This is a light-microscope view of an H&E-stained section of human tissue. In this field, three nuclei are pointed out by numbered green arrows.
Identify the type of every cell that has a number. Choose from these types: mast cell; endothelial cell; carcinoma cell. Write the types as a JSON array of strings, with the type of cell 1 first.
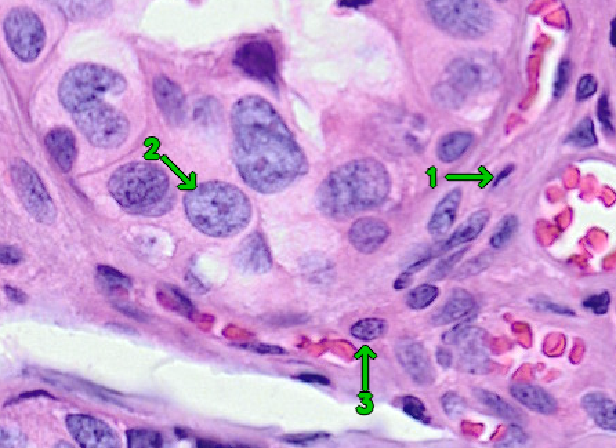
["endothelial cell", "carcinoma cell", "mast cell"]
